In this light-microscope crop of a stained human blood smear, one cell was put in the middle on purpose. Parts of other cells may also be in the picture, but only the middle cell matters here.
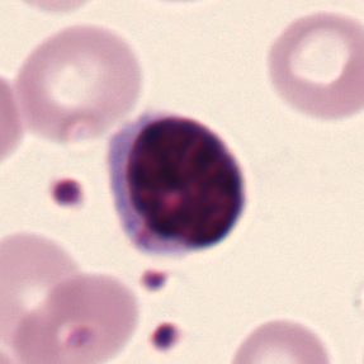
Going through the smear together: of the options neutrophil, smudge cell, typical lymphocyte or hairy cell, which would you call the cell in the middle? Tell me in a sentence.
The cell at the central position in this crop is a typical lymphocyte.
